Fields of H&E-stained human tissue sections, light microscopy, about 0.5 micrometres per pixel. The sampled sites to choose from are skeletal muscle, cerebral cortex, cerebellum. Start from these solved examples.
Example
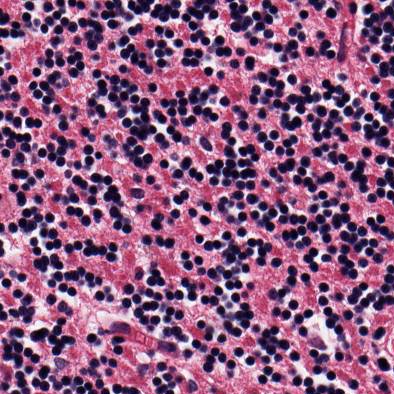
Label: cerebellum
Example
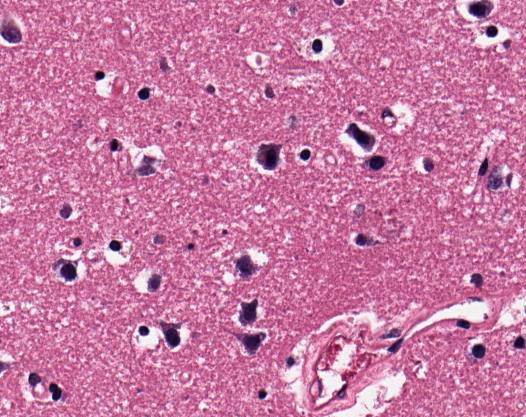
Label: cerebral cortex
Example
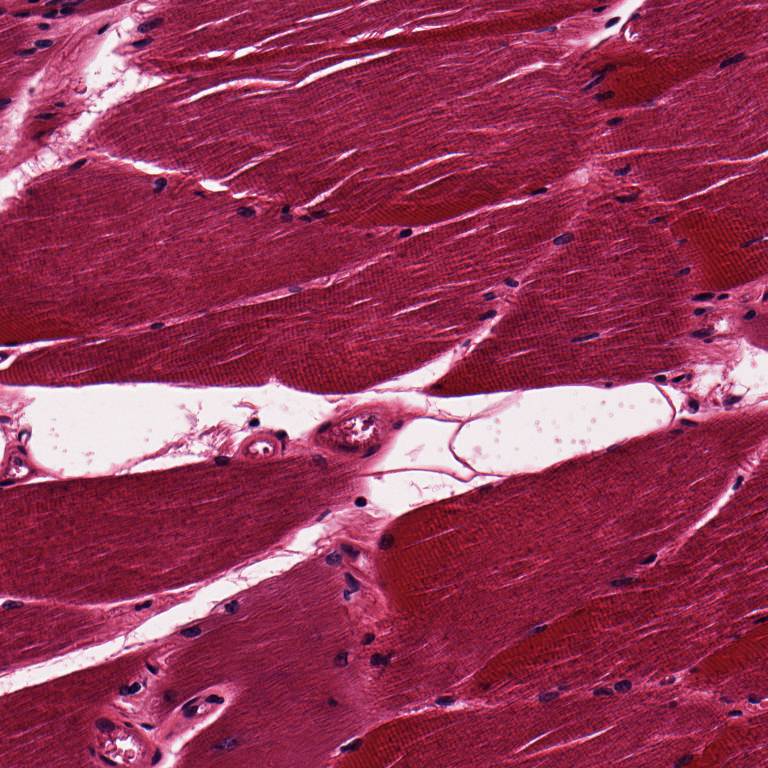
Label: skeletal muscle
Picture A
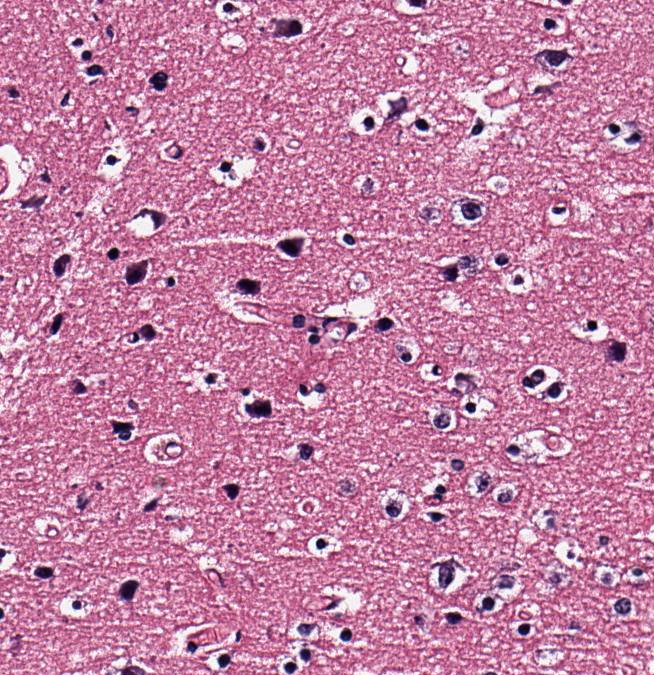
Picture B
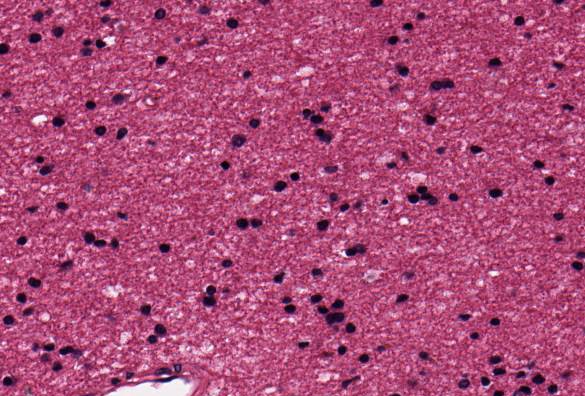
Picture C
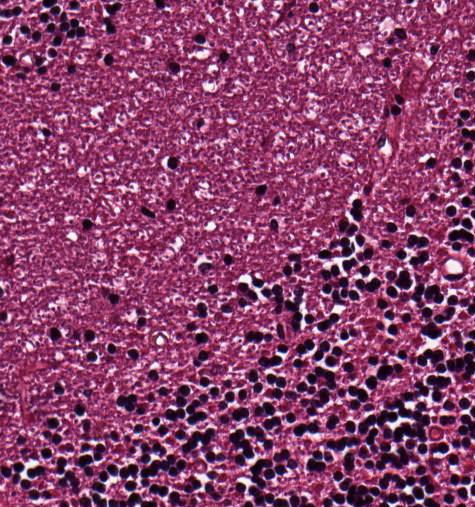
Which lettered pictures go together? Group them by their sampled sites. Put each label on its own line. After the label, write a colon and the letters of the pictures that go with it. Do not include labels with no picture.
cerebral cortex: A, B
cerebellum: C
